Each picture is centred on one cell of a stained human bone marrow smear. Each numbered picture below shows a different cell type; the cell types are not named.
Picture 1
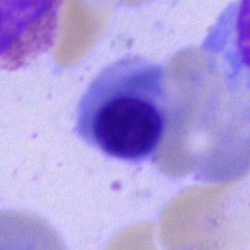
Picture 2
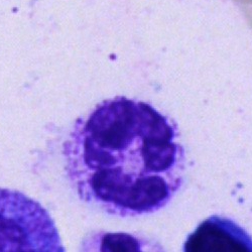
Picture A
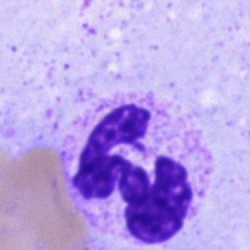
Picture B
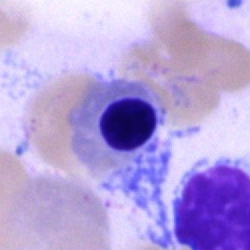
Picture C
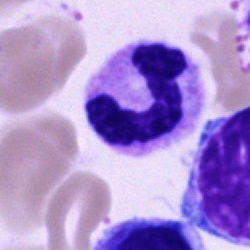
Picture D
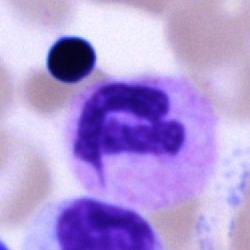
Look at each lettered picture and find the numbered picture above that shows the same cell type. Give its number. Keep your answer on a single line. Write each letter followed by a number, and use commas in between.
A 2, B 1, C 2, D 2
